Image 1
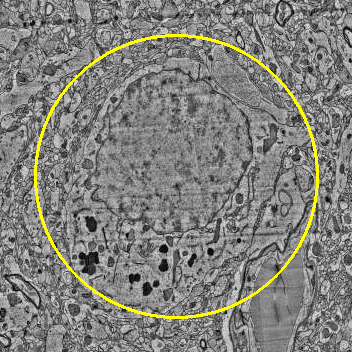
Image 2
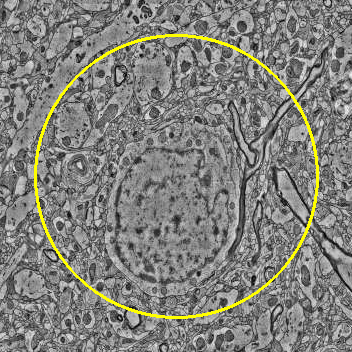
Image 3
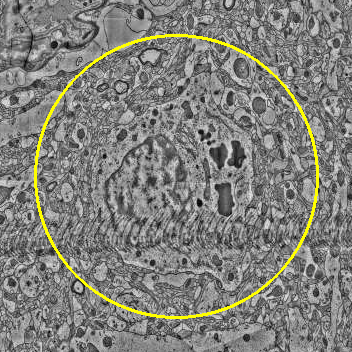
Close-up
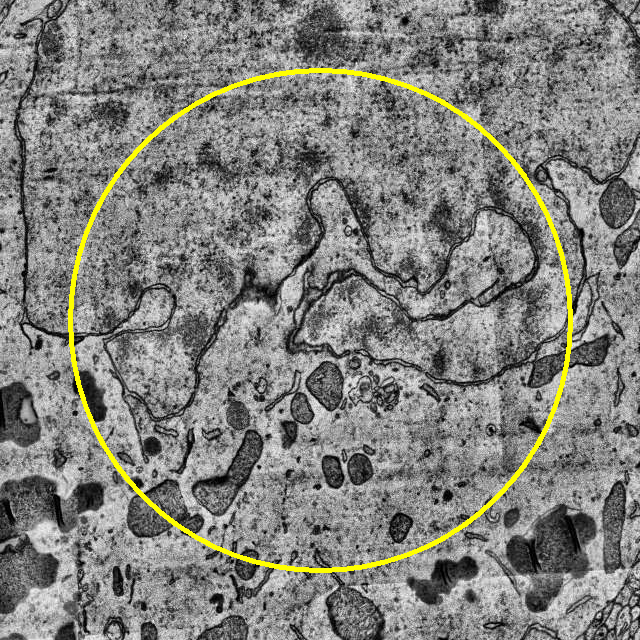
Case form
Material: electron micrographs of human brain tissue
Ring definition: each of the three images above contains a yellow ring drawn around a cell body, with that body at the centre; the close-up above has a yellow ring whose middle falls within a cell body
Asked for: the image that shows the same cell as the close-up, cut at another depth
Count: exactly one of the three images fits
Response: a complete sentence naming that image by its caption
The enlargement corresponds to the cell circled in Image 1.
